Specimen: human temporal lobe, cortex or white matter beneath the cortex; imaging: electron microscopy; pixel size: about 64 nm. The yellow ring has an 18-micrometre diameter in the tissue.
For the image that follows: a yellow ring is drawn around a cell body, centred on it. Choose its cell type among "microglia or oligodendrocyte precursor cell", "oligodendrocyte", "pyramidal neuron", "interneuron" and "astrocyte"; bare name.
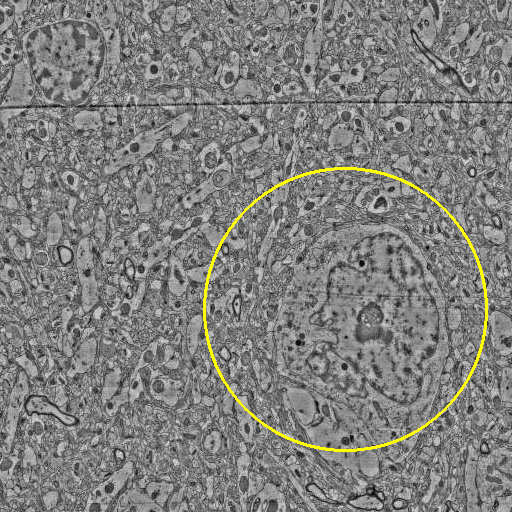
interneuron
